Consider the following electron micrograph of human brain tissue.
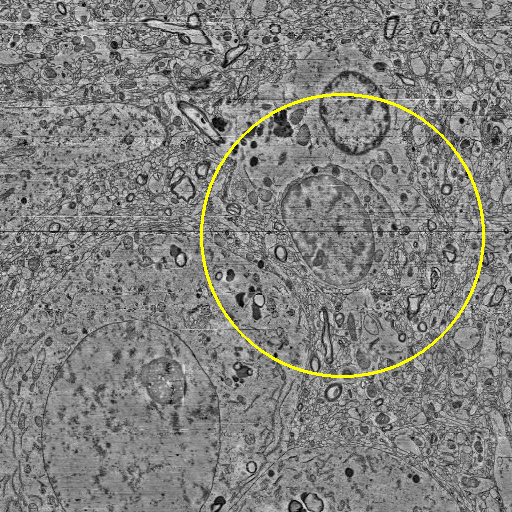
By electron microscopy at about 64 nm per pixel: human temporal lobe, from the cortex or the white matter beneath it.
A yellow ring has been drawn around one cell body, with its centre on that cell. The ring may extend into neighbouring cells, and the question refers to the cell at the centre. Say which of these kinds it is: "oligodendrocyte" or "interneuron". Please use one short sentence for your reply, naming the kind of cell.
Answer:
The centre of the ring falls on an oligodendrocyte.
